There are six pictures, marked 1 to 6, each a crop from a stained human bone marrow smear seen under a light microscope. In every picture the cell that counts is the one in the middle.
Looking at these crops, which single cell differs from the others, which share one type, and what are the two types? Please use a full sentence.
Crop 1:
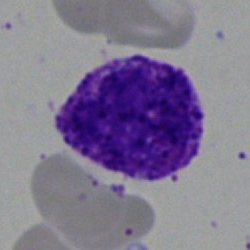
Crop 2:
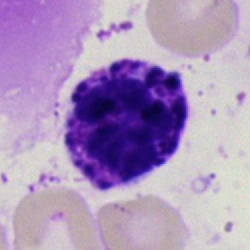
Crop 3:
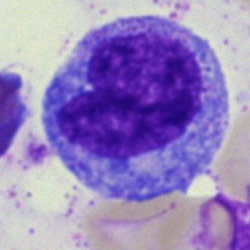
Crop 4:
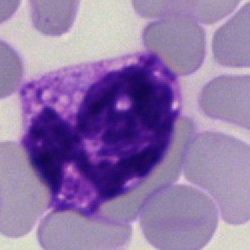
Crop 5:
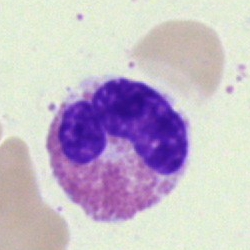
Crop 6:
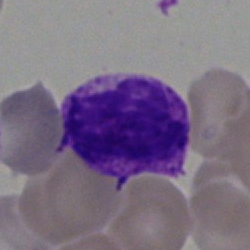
Crop 3 differs from the others in showing a promyelocyte; the rest all show basophils.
